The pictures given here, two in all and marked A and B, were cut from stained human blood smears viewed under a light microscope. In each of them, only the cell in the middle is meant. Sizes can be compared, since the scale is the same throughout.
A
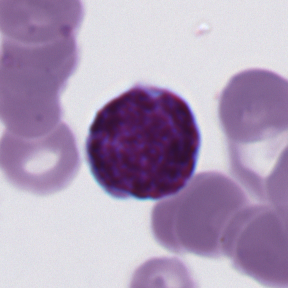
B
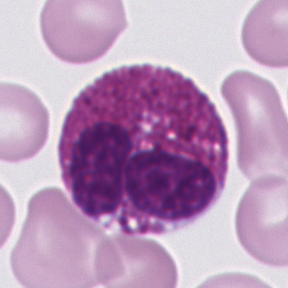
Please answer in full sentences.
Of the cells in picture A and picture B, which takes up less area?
The cell in picture A is smaller; the one in picture B has about 2 times its area.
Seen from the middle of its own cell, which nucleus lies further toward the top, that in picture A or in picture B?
In picture A the nucleus is shifted more toward the top.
